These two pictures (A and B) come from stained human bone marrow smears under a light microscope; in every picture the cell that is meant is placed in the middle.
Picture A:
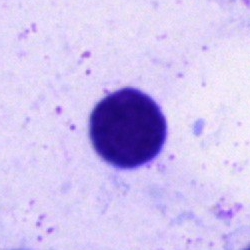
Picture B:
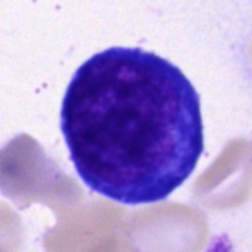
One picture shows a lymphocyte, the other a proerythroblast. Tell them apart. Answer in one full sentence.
Picture A shows a lymphocyte and picture B shows a proerythroblast.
